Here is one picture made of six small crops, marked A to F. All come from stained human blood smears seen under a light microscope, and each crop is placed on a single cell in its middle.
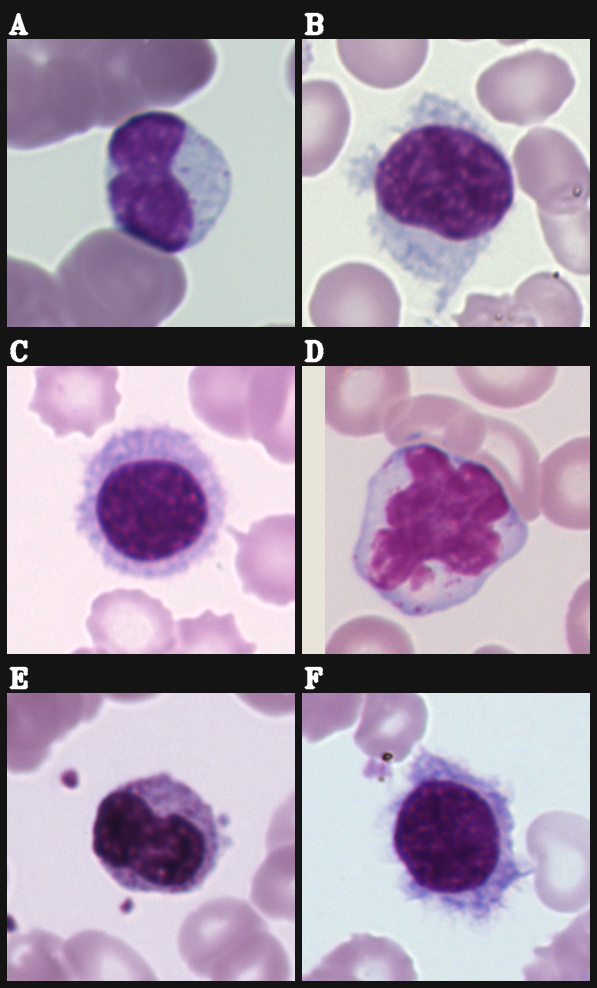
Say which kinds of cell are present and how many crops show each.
large granular lymphocyte: 3
hairy cell: 3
